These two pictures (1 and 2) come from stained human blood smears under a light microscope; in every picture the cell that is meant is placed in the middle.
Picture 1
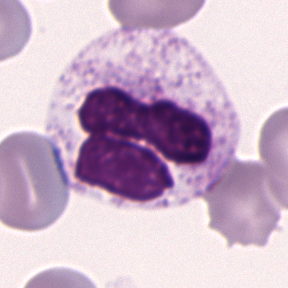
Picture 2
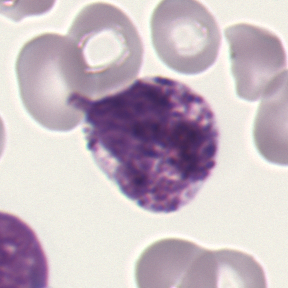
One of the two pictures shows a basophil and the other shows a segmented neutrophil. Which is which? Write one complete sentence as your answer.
The cell in picture 1 is a segmented neutrophil, and the one in picture 2 is a basophil.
